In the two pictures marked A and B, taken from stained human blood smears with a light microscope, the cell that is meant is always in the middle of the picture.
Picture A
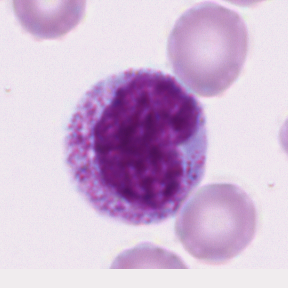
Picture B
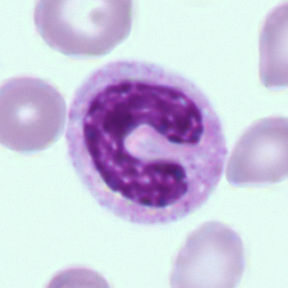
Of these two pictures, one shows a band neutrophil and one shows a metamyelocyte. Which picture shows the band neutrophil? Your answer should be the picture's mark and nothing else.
B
